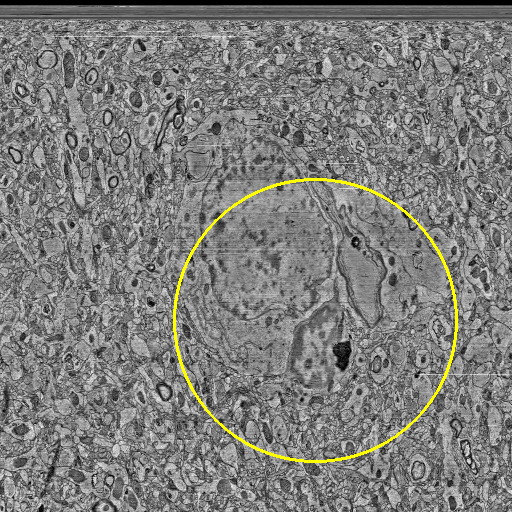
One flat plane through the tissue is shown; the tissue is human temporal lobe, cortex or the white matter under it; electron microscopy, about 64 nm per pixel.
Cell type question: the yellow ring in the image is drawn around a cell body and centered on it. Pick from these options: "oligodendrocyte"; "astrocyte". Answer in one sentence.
The ringed cell at the center is an oligodendrocyte.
